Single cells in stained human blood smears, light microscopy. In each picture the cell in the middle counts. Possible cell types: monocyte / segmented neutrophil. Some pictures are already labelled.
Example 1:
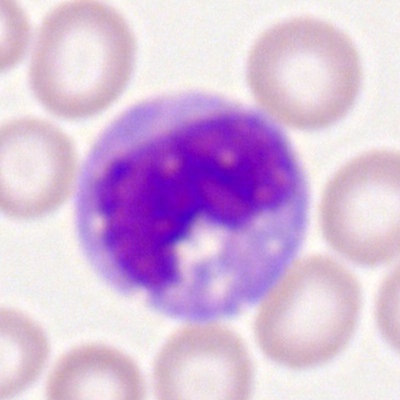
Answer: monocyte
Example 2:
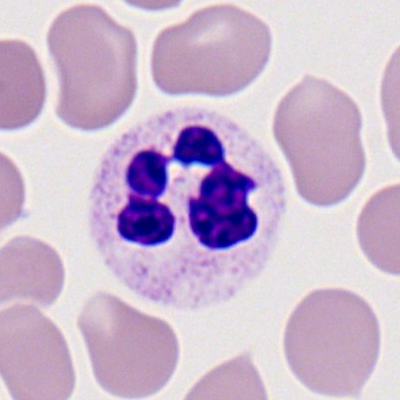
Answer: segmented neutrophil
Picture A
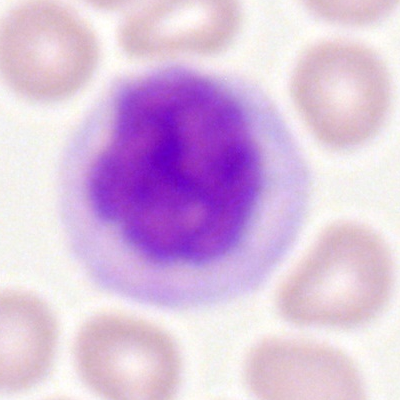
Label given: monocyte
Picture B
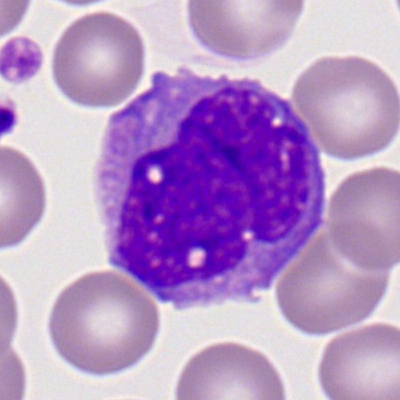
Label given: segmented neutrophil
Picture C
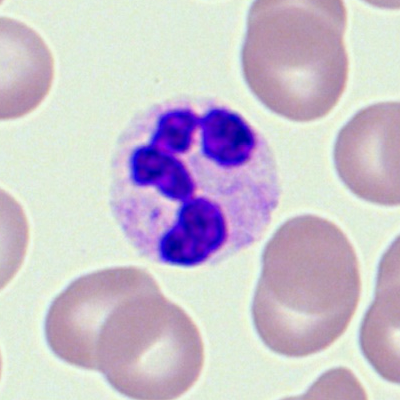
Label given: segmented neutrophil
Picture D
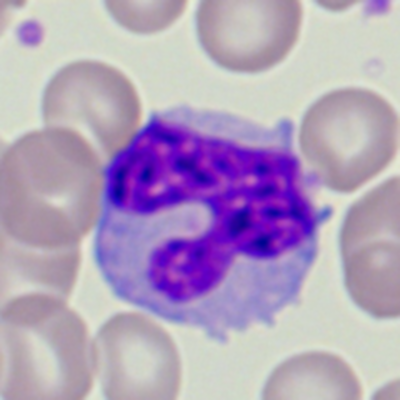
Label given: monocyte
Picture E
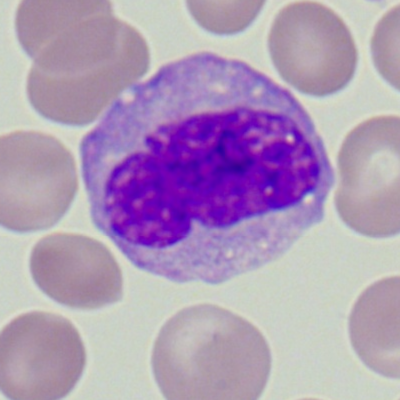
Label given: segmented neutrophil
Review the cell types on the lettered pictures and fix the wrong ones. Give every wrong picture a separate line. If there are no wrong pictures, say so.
Wrong: B (segmented neutrophil); correct: monocyte
Wrong: E (segmented neutrophil); correct: monocyte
